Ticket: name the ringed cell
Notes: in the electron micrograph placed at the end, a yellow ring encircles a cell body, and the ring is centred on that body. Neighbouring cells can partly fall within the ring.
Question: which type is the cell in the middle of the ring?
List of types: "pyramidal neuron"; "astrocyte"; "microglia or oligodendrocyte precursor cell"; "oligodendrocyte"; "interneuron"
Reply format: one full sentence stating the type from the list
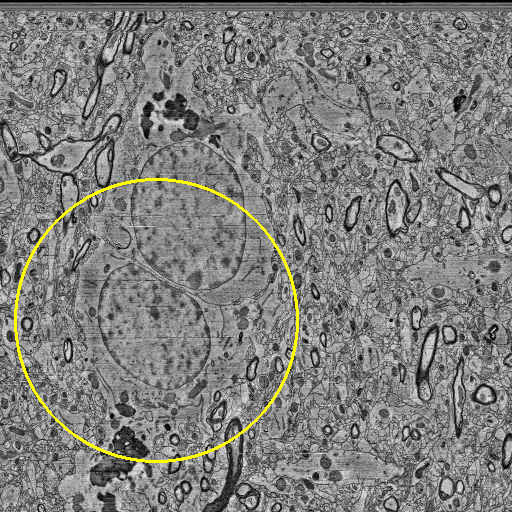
The cell sitting at the centre of the yellow ring is an astrocyte.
